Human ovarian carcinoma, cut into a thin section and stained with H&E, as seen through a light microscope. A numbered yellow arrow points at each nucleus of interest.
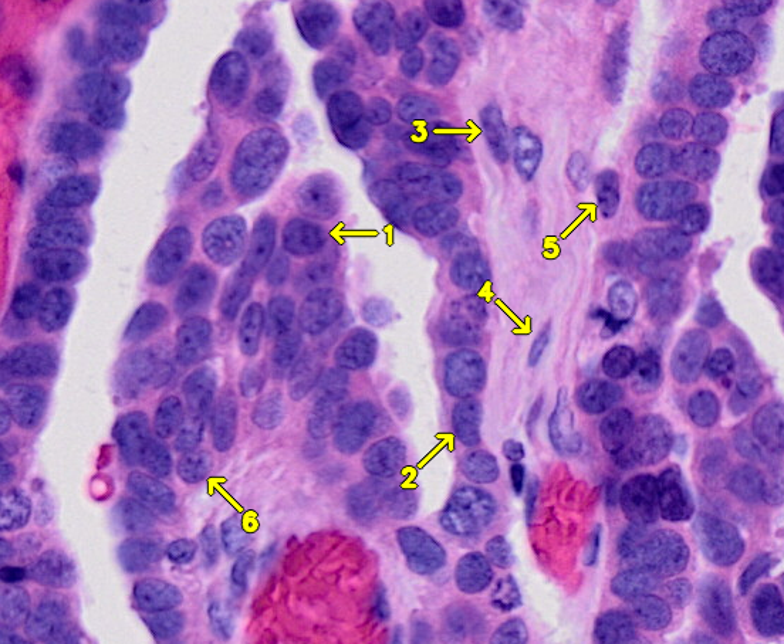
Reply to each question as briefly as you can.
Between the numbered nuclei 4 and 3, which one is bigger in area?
3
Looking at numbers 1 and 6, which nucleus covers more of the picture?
1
